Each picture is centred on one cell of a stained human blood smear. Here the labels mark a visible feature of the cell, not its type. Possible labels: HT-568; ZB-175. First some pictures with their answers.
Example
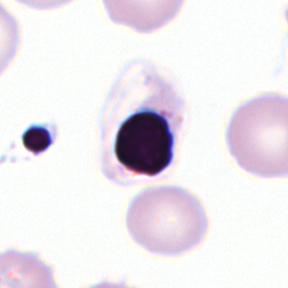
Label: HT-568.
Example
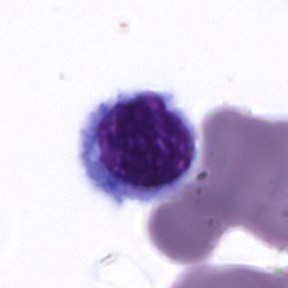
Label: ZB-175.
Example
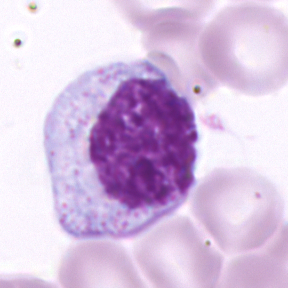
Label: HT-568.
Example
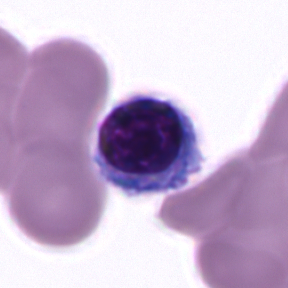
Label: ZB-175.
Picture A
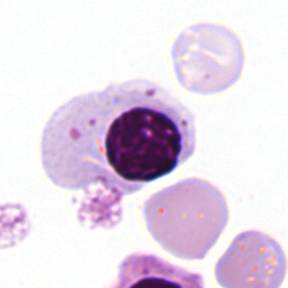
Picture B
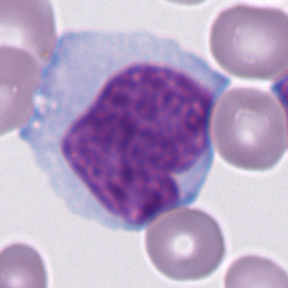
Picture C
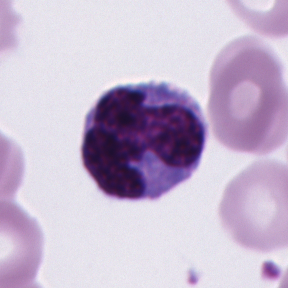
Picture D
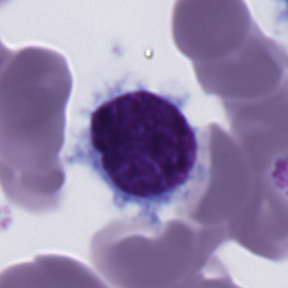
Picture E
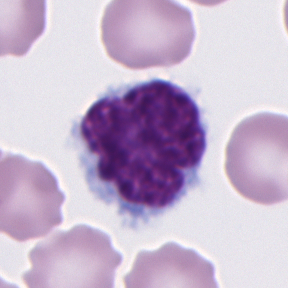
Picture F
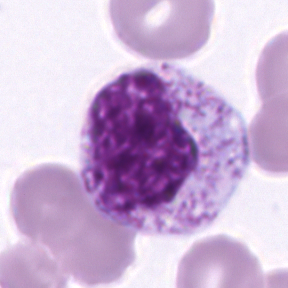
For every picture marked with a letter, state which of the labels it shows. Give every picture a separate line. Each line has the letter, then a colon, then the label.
A: HT-568.
B: HT-568.
C: ZB-175.
D: ZB-175.
E: ZB-175.
F: HT-568.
